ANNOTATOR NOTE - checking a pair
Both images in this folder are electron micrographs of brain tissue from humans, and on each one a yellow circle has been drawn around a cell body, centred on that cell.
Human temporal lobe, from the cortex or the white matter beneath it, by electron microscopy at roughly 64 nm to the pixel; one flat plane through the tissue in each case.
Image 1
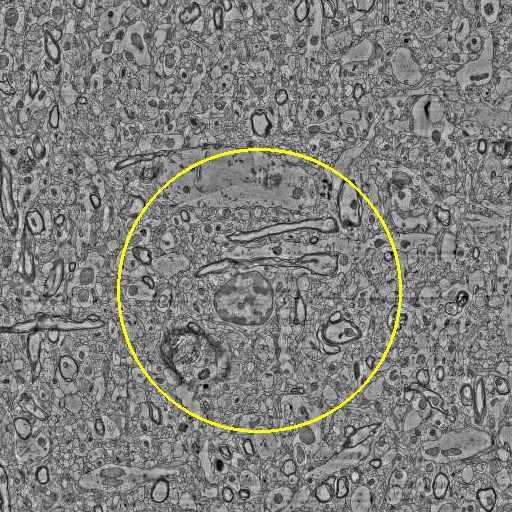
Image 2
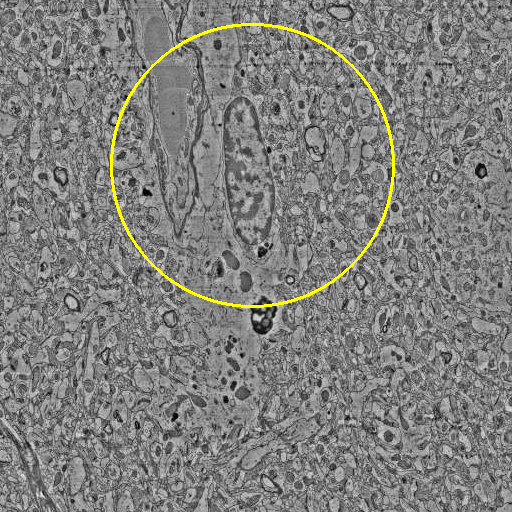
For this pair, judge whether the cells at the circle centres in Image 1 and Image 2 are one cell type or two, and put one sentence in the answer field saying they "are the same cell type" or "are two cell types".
For this pair, the cells at the circle centres in Images 1 and 2 are the same cell type.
